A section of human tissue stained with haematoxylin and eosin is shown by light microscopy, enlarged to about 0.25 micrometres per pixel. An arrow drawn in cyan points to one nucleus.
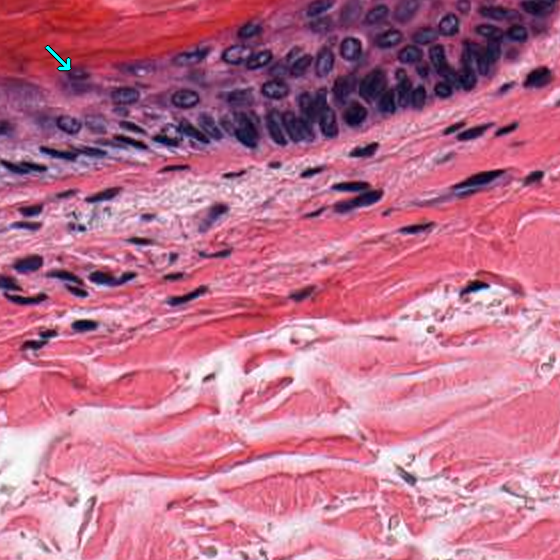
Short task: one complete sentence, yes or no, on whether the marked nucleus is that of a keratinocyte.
Yes, in this field of view the marked nucleus belongs to a keratinocyte.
